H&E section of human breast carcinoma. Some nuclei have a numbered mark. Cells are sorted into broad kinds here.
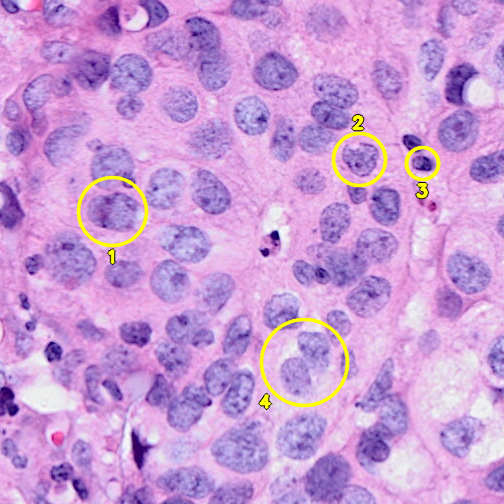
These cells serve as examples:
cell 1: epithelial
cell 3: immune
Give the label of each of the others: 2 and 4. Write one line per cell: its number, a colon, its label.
2: epithelial
4: epithelial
